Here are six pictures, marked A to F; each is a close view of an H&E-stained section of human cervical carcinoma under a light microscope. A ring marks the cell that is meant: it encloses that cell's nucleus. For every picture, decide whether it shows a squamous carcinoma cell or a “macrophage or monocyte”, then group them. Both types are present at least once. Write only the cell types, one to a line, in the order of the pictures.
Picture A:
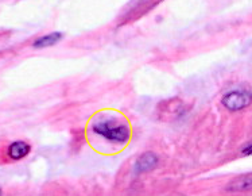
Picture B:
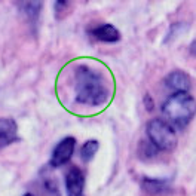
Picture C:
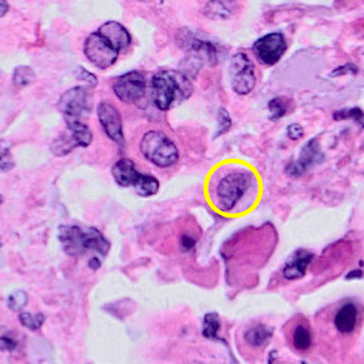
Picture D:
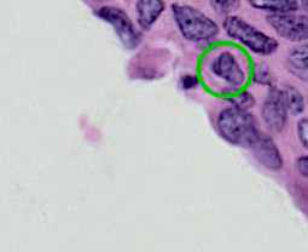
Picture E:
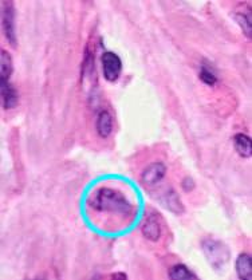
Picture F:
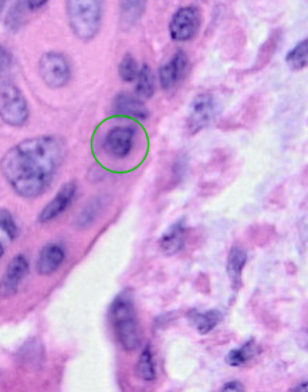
macrophage or monocyte
macrophage or monocyte
macrophage or monocyte
squamous carcinoma cell
macrophage or monocyte
squamous carcinoma cell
